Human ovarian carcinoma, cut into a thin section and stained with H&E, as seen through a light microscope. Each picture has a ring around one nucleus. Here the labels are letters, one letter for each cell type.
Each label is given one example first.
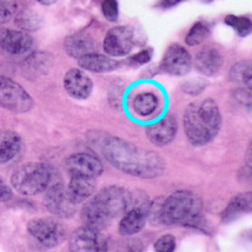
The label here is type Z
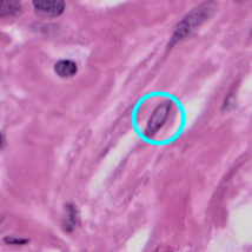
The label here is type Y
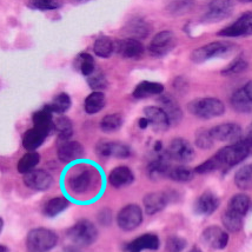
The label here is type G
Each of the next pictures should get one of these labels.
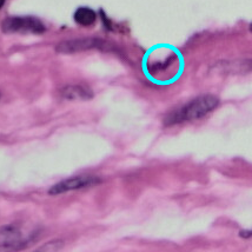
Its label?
type Y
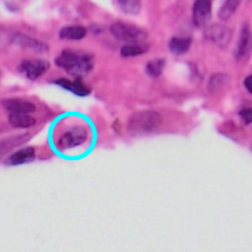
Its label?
type Z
